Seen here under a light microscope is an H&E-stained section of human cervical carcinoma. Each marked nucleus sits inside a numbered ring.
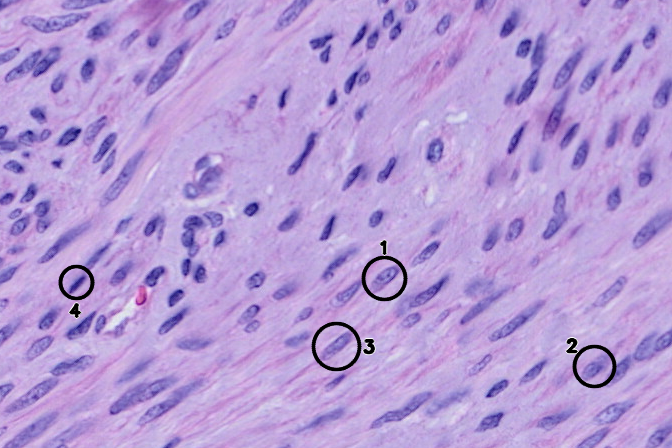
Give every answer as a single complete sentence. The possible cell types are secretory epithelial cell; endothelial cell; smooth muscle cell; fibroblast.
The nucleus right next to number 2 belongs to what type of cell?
The nucleus nearest to number 2 is that of a smooth muscle cell.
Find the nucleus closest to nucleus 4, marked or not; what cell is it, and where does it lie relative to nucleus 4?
Just above and to the right of nucleus 4 lies the nearest nucleus, which belongs to a fibroblast.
